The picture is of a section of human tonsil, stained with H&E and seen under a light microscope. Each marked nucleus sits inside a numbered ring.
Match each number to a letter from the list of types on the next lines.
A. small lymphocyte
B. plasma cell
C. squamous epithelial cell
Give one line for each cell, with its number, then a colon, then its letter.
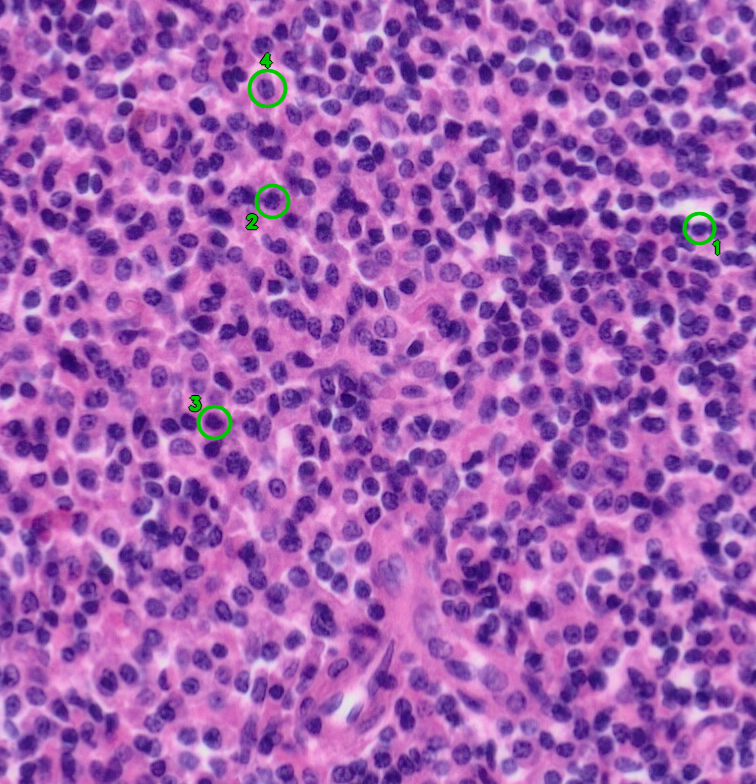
1: A
2: B
3: B
4: B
